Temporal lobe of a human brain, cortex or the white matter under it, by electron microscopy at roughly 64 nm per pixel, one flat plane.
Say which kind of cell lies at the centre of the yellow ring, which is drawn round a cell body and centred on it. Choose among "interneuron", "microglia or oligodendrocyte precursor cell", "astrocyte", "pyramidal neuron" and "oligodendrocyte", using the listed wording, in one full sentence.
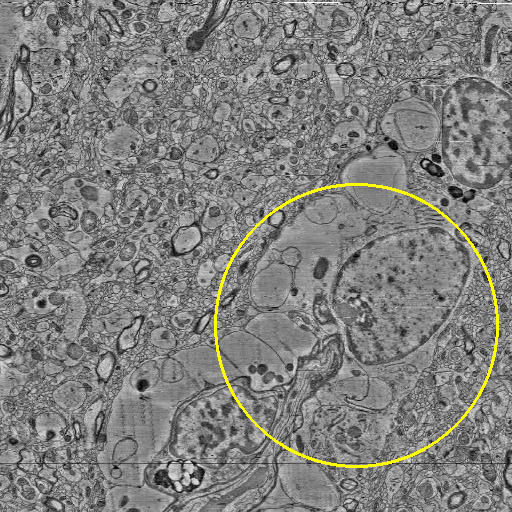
Going by the list, the cell at the yellow ring's centre is a microglial cell or oligodendrocyte precursor cell.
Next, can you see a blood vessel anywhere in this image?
Yes, a vessel shows somewhere in the image.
